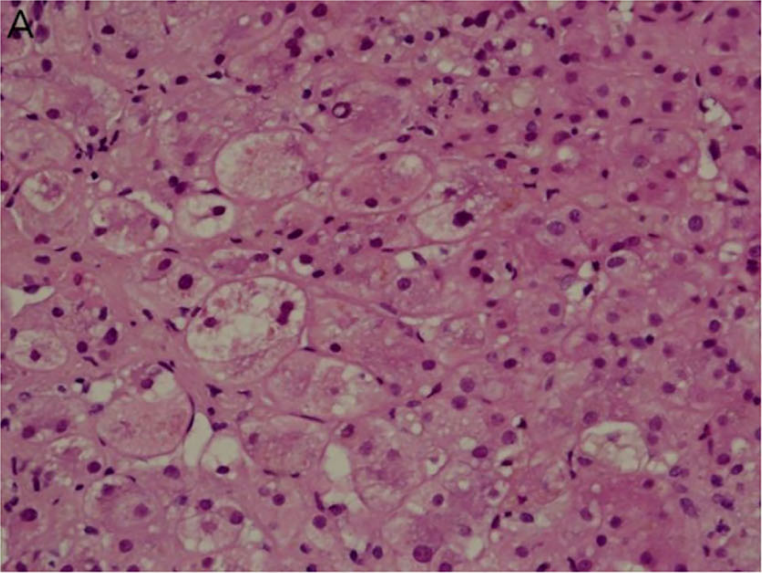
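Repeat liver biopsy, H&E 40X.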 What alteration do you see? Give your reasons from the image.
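Several hepatocytes are markedly enlarged and rounded, larger than their neighbours. The enlarged cells have pale, clear to wispy, rarefied cytoplasm.
Conclusion: ballooning degeneration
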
